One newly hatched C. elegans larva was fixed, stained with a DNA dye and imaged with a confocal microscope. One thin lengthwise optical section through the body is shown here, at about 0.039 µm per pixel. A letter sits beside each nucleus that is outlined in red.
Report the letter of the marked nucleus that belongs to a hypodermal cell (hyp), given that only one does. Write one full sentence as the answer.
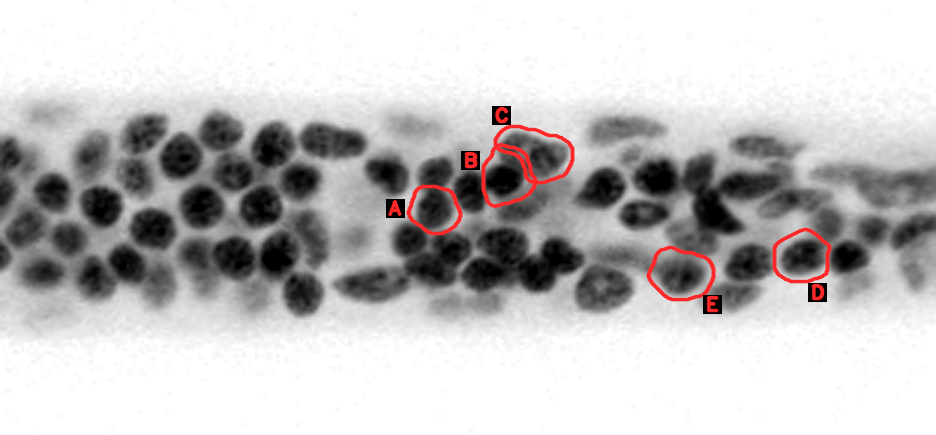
E is from a hypodermal cell (hyp).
